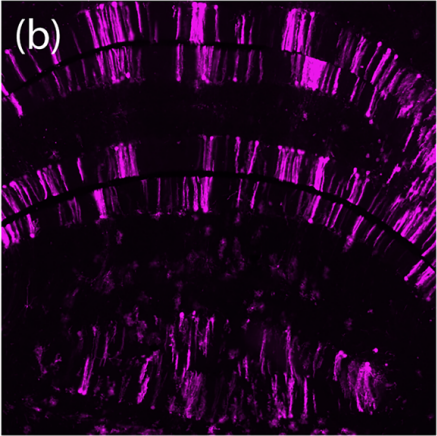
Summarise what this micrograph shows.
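This is cerebellar cortex, cut across several folia, with Purkinje neurons shown in magenta. Their dendritic arbors form tall, narrow, brush-like fans that rise through the outer molecular layer toward the surface. The labelled neurons are not evenly spread but gather into vertical stripes of different widths, with dark gaps of unlabelled cortex between them. Beneath the molecular layer the granular layer stays mostly dark, with only scattered faint magenta profiles. Thin dark clefts separate neighbouring folia.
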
